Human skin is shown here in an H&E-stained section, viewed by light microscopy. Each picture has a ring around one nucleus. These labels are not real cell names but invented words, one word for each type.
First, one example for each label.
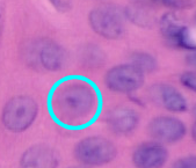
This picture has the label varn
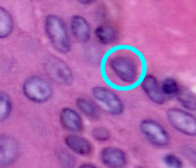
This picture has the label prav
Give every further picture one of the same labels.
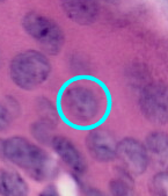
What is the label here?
varn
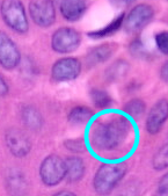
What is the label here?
prav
